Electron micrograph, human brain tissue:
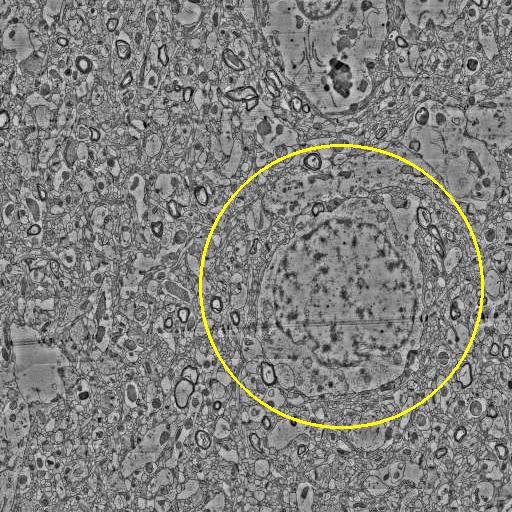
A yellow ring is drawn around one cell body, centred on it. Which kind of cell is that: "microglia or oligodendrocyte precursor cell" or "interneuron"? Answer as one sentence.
It is an interneuron at the centre of the ring.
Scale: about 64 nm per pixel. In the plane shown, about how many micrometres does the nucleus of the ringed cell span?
About 9 micrometers across, in this plane.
